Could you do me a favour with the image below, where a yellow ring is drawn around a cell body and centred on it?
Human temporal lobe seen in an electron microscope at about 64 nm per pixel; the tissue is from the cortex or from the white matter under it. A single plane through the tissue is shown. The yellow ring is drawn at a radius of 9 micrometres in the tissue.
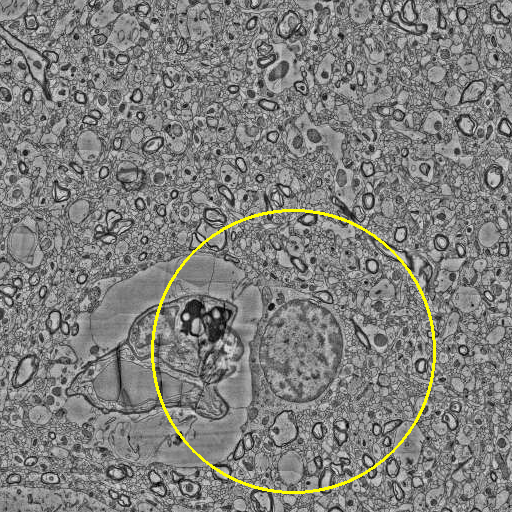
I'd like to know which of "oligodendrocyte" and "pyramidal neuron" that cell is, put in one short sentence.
The cell at the ring's centre is an oligodendrocyte.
